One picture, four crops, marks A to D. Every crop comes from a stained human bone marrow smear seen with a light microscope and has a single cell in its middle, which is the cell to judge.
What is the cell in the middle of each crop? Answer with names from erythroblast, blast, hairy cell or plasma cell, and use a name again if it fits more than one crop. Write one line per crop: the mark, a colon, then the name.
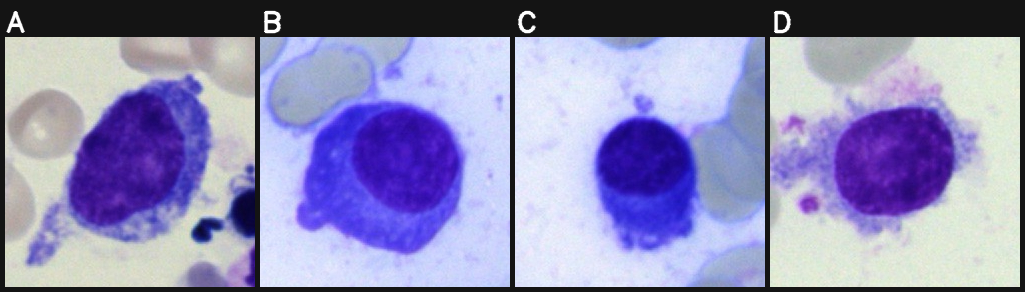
A: blast
B: plasma cell
C: plasma cell
D: hairy cell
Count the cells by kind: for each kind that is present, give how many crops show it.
plasma cell: 2
blast: 1
hairy cell: 1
